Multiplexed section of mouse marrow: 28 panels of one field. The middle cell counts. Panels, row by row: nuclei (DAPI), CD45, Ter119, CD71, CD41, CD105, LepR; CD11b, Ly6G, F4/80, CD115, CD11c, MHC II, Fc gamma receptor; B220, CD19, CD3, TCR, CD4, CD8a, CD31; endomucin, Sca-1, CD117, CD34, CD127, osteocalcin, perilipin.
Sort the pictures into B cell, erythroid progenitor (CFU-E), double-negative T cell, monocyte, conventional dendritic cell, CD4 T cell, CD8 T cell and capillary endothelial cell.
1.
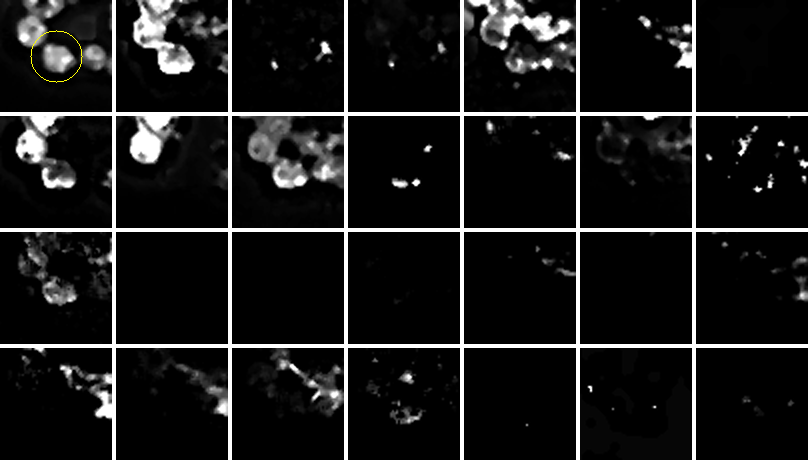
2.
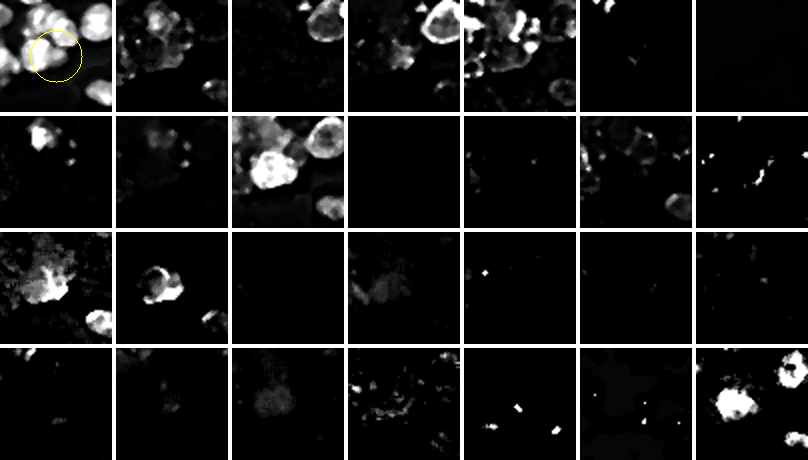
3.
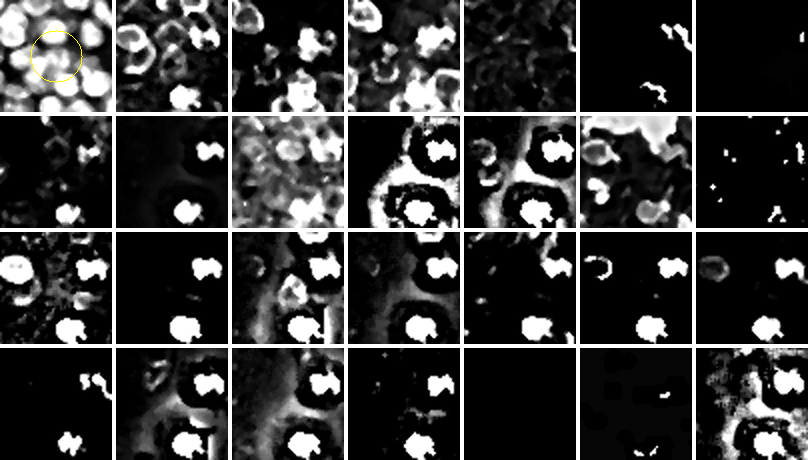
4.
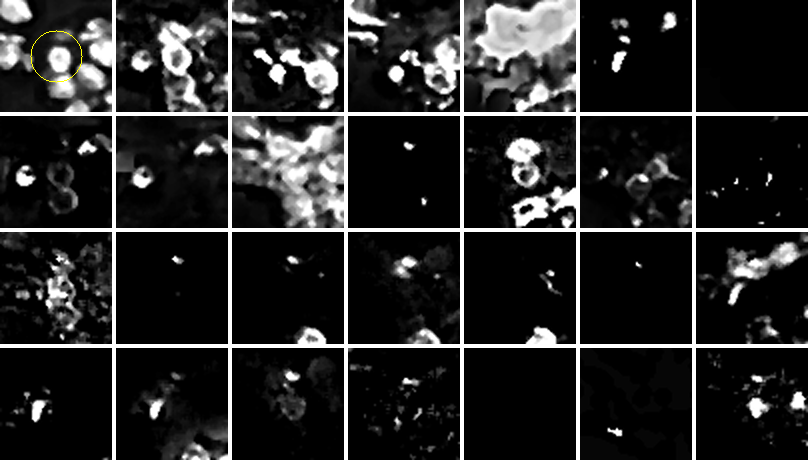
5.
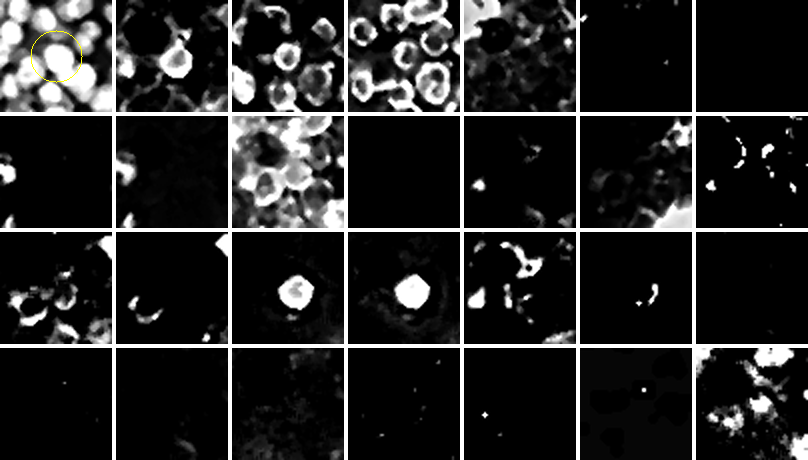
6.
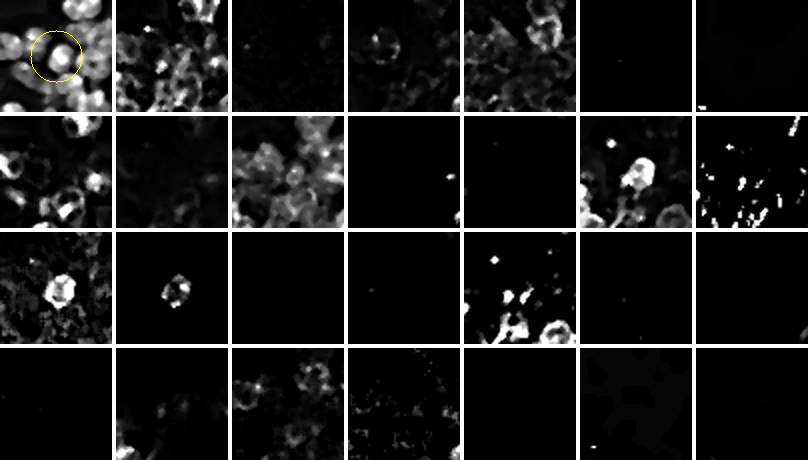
Monocytes: 1
B cells: 2, 6
Erythroid progenitors (CFU-E): 3
Conventional dendritic cells: 4
Double-negative T cells: 5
